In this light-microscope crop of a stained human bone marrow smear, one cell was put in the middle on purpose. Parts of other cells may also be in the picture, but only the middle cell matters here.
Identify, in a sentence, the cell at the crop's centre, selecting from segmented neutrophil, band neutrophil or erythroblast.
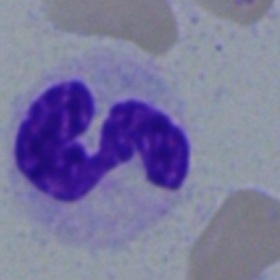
The cell found in the middle of this crop is a segmented neutrophil.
